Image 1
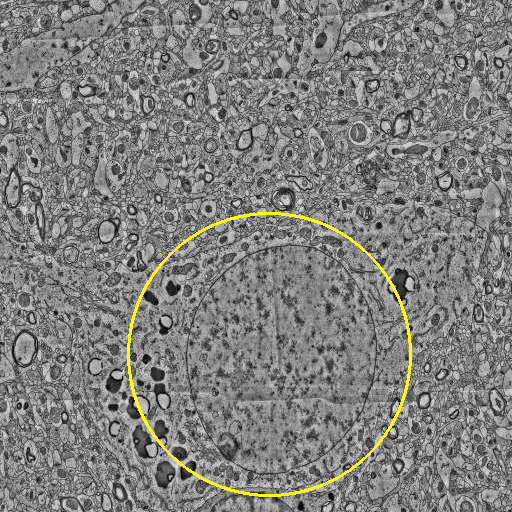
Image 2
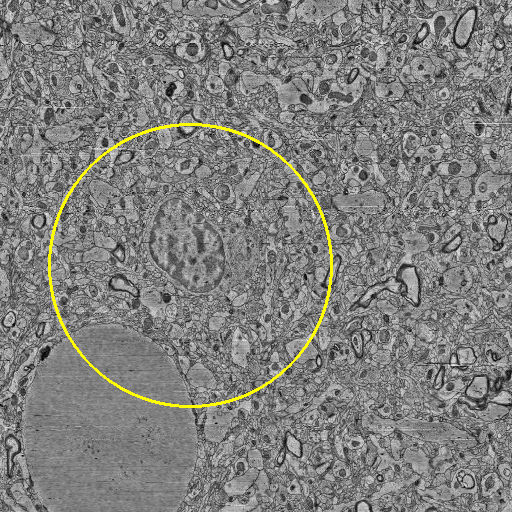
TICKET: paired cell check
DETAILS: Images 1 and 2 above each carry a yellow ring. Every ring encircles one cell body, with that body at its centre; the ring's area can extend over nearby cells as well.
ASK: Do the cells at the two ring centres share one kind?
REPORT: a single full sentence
No, the ring-centre cells of Images 1 and 2 belong to two kinds.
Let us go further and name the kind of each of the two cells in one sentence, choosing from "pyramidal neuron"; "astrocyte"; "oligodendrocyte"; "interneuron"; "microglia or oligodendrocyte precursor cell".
The ring of the first picture is on a pyramidal neuron, the ring of the second on an oligodendrocyte.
